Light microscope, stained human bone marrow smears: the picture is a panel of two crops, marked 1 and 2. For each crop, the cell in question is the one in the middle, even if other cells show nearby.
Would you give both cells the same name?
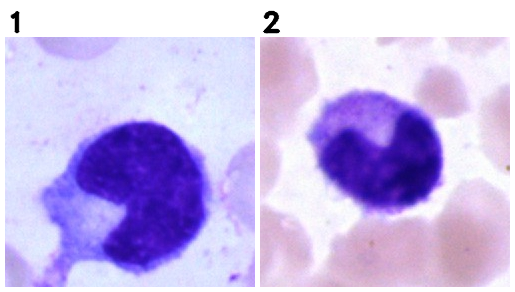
yes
